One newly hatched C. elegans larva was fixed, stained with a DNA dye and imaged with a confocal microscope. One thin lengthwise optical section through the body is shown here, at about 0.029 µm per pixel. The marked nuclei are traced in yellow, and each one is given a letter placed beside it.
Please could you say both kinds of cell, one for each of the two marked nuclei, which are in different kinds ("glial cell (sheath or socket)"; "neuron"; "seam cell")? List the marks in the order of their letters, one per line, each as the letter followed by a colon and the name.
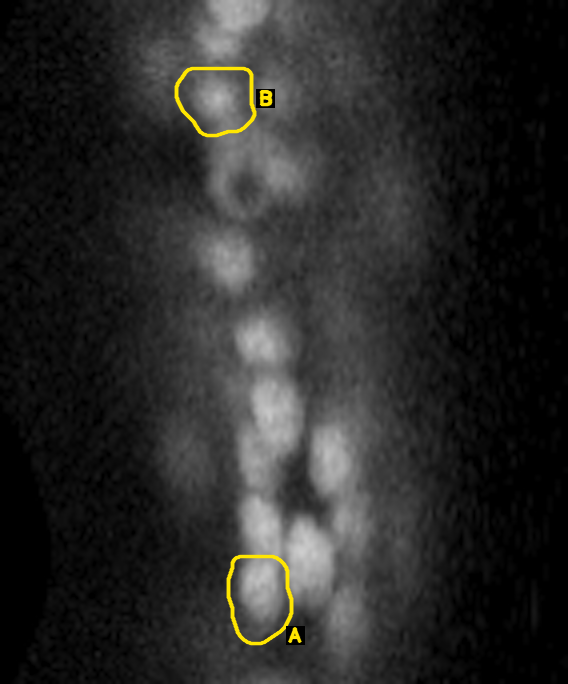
A: glial cell (sheath or socket)
B: neuron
